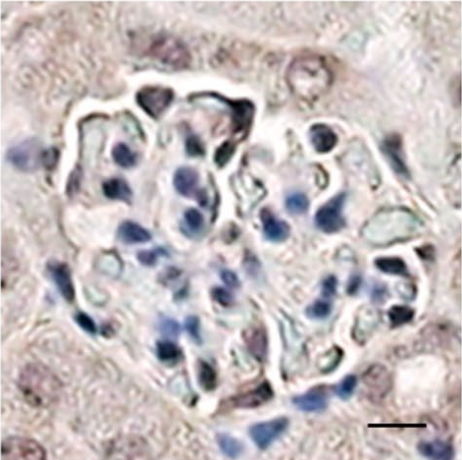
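A renal glomerulus is seen in kidney tissue: a rounded tuft of closely packed cells with blue-stained nuclei, separated by a clear space and a thin rim from the surrounding tissue. Some cells in the tuft and along its outer rim show faint brownish staining, and the surrounding tissue has a light brownish, granular tint with scattered round nuclei.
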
